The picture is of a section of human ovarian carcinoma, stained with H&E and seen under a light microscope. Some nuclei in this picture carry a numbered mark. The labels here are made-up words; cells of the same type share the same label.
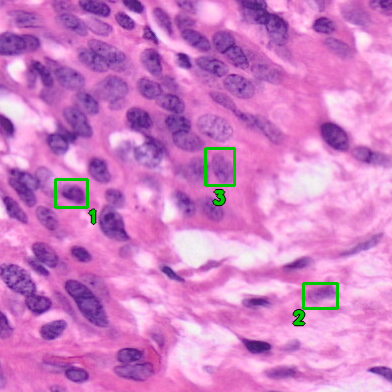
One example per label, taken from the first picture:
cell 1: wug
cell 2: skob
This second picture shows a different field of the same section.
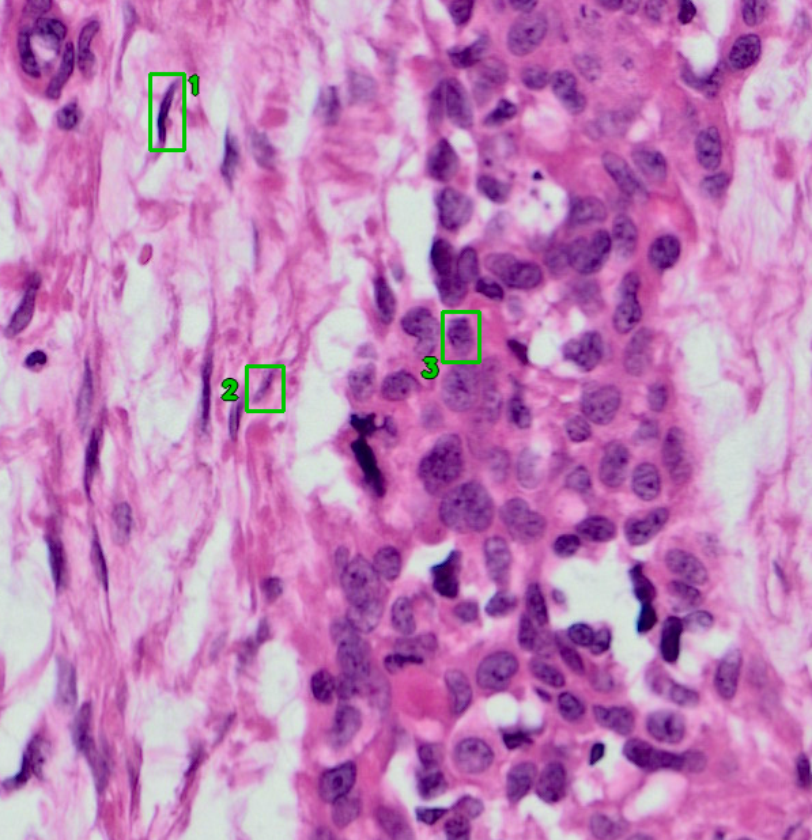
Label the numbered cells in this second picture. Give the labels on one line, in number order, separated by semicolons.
skob; skob; wug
